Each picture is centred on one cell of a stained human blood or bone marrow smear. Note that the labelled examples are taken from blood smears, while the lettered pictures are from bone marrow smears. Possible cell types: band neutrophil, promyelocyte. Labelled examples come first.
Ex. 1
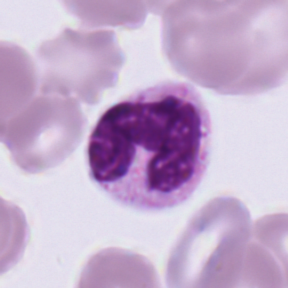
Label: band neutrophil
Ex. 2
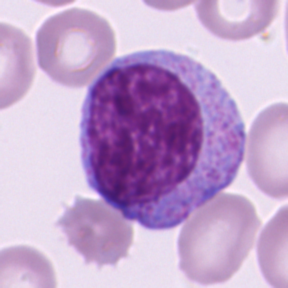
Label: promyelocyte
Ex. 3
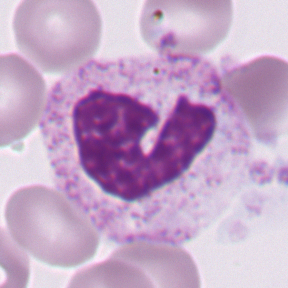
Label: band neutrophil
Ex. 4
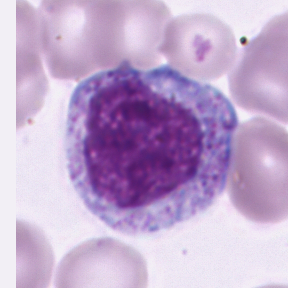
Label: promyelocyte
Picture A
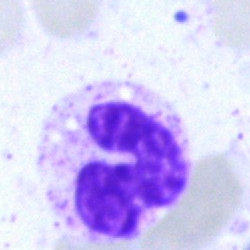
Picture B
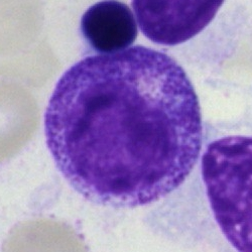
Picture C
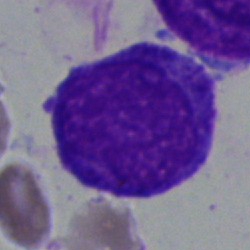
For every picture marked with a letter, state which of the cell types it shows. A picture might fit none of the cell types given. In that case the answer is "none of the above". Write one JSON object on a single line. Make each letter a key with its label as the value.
{"A": "band neutrophil", "B": "promyelocyte", "C": "promyelocyte"}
